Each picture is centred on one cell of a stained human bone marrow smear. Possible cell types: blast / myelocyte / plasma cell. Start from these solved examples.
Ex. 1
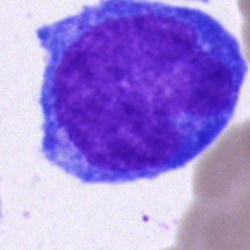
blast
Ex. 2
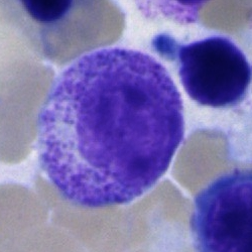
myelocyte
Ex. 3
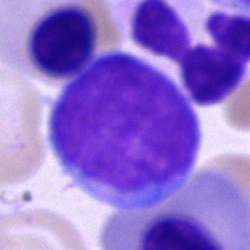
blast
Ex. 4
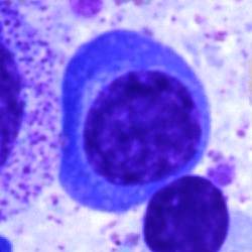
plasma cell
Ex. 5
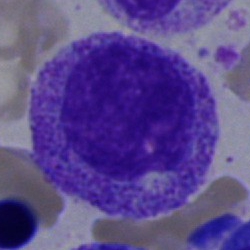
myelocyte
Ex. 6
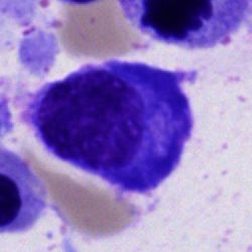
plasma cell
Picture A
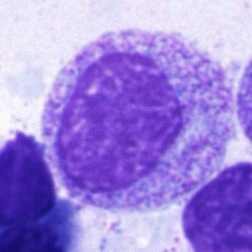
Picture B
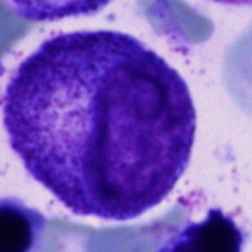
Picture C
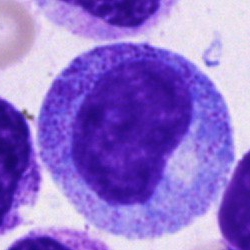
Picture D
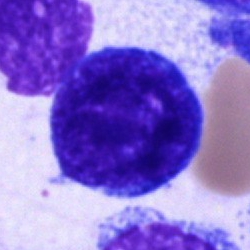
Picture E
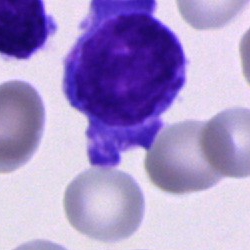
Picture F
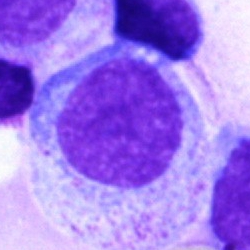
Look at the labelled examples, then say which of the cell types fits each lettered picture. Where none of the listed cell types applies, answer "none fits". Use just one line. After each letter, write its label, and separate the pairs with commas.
A myelocyte, B myelocyte, C none fits, D blast, E blast, F myelocyte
